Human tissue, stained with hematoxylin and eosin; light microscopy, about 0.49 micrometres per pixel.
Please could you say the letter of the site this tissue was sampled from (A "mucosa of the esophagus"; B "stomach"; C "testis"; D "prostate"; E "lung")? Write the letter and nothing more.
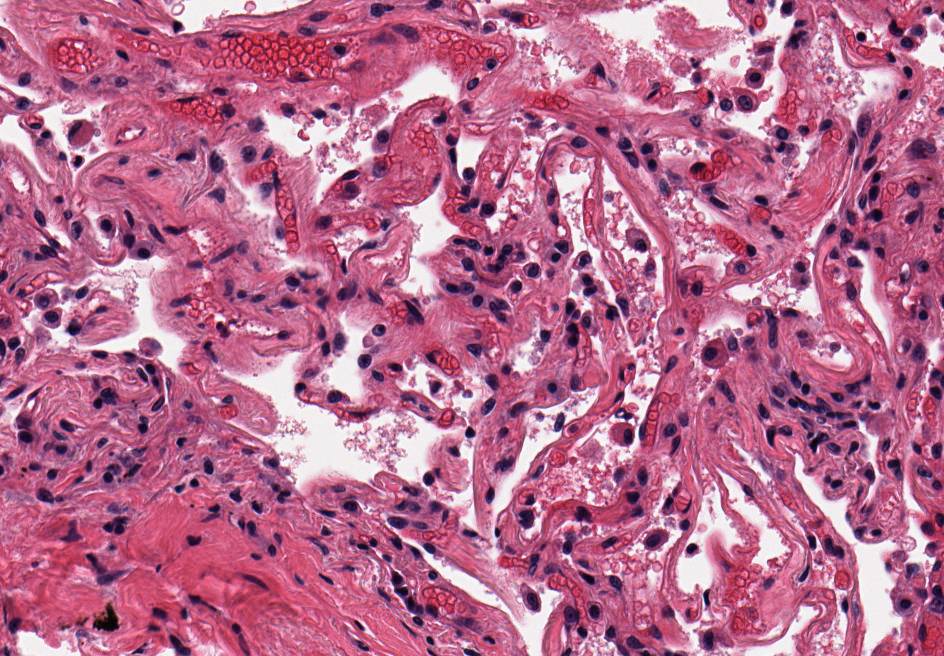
E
